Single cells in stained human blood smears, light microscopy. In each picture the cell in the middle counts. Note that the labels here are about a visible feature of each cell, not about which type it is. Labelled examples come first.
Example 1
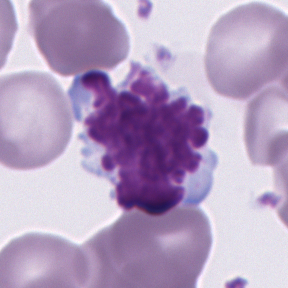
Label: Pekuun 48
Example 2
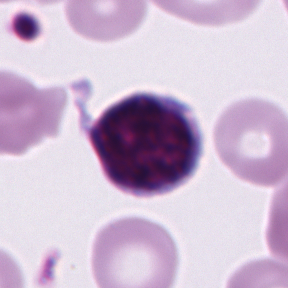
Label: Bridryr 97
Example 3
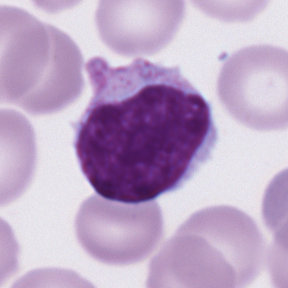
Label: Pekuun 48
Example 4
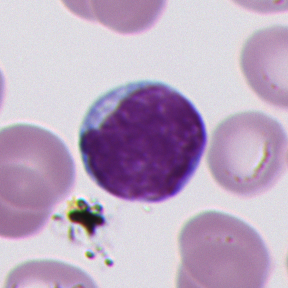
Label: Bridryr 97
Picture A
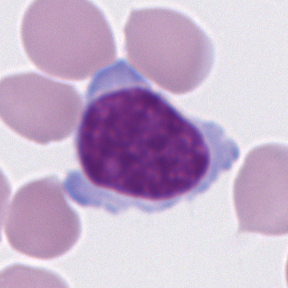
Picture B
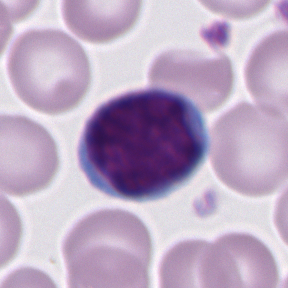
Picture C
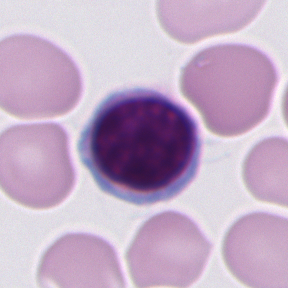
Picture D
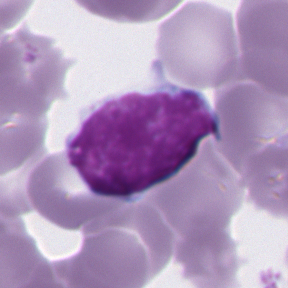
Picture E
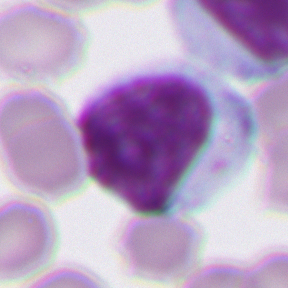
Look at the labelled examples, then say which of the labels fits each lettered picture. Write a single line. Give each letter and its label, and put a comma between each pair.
A Pekuun 48, B Bridryr 97, C Bridryr 97, D Pekuun 48, E Bridryr 97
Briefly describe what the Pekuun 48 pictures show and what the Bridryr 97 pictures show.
Seen in Pekuun 48: ragged outline or projections; seen in Bridryr 97: smooth outline.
